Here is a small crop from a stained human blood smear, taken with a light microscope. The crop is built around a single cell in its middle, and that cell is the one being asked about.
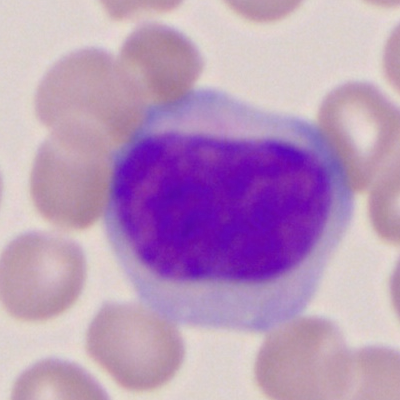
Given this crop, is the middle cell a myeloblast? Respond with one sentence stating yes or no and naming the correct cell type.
Yes, the cell in the middle is a myeloblast.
